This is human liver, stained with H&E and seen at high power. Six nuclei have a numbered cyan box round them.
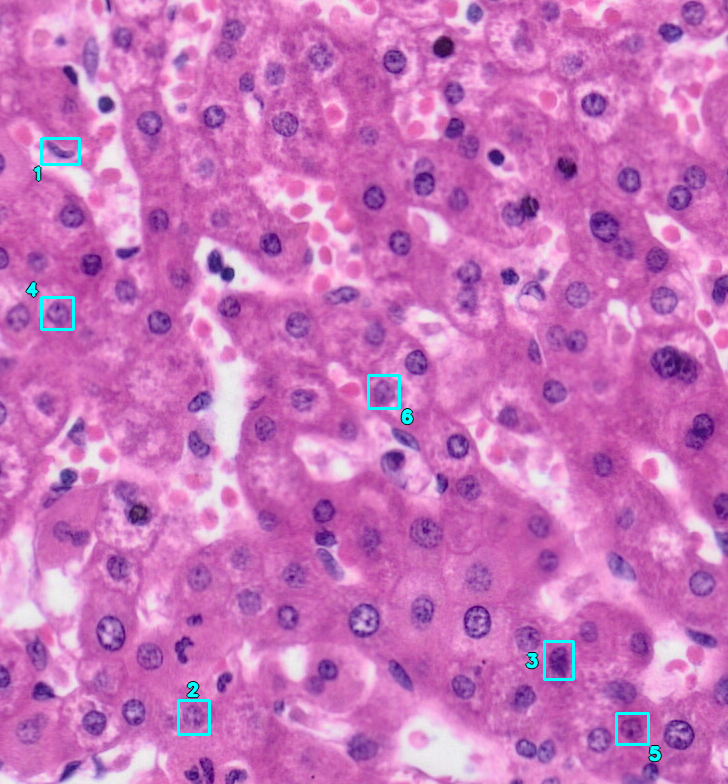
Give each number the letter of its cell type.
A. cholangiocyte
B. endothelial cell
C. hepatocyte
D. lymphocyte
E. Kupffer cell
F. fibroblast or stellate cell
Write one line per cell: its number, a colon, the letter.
1: B
2: C
3: F
4: C
5: C
6: C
